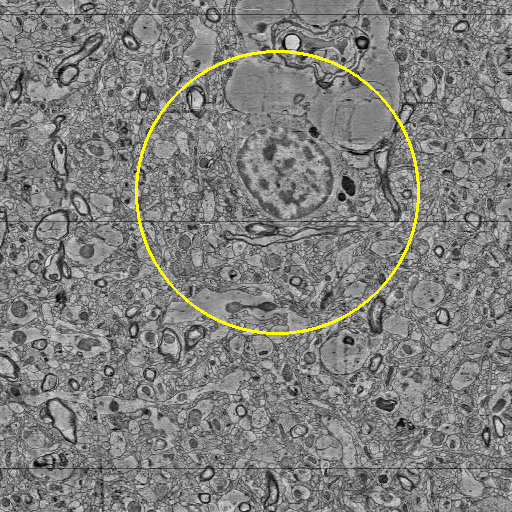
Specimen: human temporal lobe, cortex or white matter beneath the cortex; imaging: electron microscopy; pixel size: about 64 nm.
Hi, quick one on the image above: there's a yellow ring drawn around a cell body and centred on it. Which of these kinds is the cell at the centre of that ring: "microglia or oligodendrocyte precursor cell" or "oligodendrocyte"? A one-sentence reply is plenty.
The cell at the centre of the ring is an oligodendrocyte.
